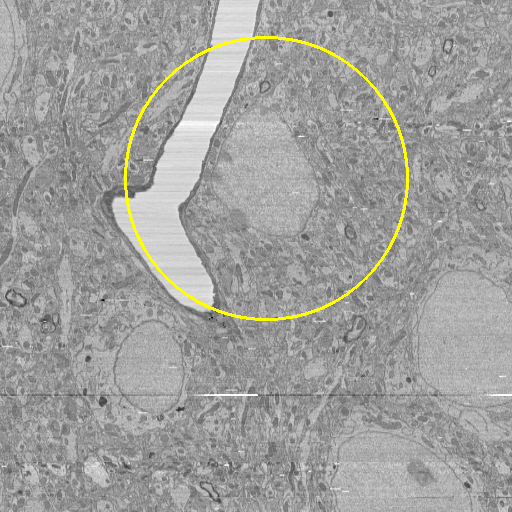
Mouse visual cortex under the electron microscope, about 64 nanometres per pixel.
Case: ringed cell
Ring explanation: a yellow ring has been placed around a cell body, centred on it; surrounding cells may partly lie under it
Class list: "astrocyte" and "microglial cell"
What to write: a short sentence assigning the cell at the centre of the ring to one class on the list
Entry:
The cell at the ring's centre is an astrocyte.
